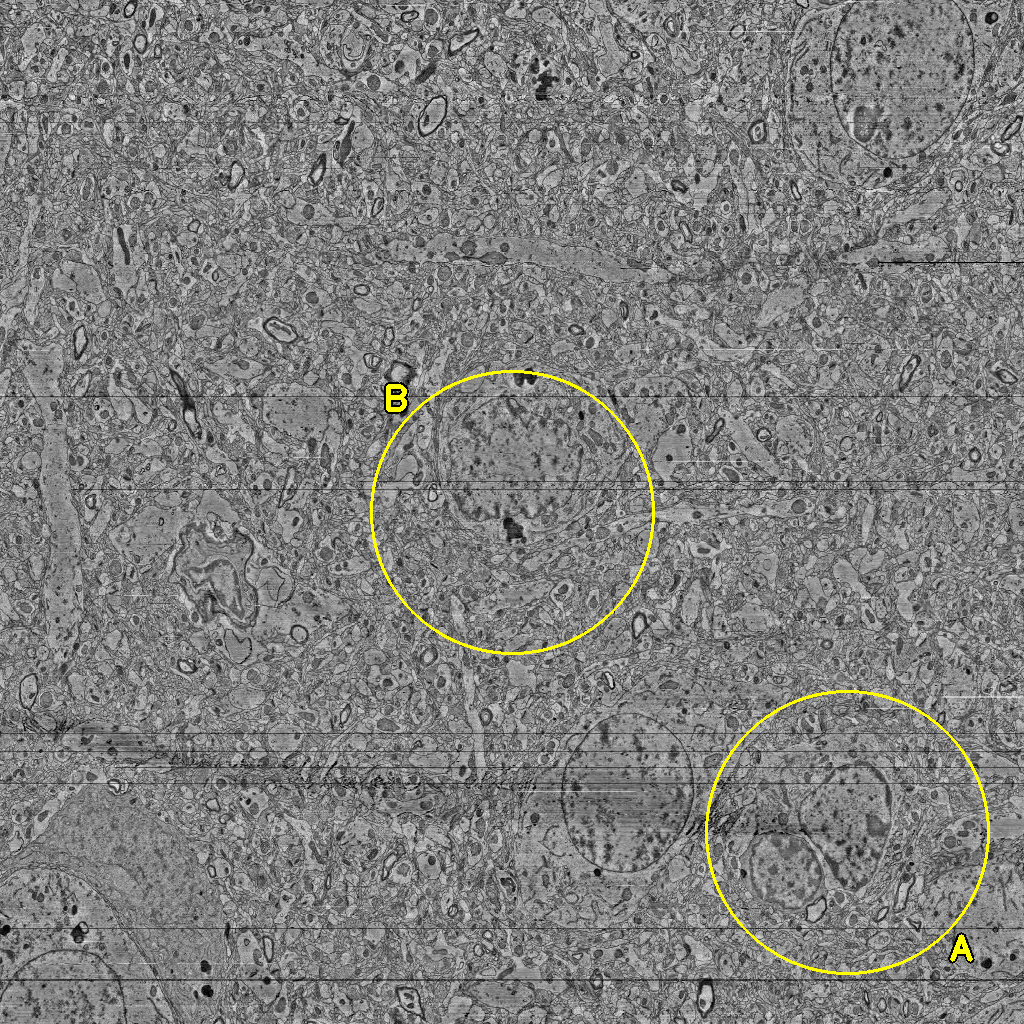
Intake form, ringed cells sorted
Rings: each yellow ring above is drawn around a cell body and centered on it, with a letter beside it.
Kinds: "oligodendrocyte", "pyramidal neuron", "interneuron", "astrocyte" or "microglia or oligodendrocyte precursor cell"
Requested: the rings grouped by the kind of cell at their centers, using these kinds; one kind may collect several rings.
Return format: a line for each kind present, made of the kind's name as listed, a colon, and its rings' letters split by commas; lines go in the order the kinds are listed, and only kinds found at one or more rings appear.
interneuron: B
microglia or oligodendrocyte precursor cell: A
